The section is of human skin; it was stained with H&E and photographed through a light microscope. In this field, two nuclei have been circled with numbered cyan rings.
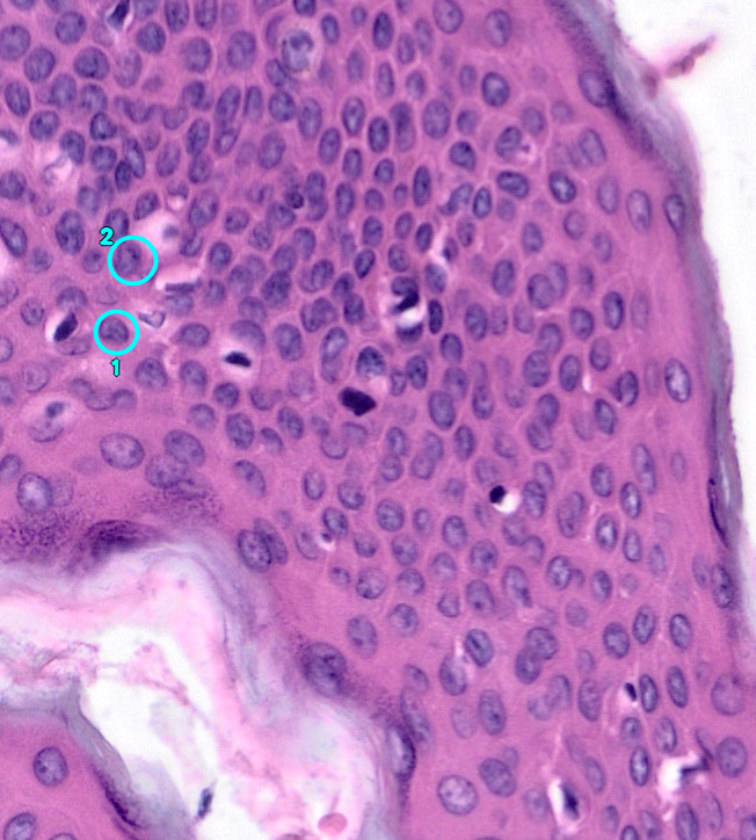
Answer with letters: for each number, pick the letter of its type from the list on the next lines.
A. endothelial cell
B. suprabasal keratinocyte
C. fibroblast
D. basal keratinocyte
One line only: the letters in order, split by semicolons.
B; D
